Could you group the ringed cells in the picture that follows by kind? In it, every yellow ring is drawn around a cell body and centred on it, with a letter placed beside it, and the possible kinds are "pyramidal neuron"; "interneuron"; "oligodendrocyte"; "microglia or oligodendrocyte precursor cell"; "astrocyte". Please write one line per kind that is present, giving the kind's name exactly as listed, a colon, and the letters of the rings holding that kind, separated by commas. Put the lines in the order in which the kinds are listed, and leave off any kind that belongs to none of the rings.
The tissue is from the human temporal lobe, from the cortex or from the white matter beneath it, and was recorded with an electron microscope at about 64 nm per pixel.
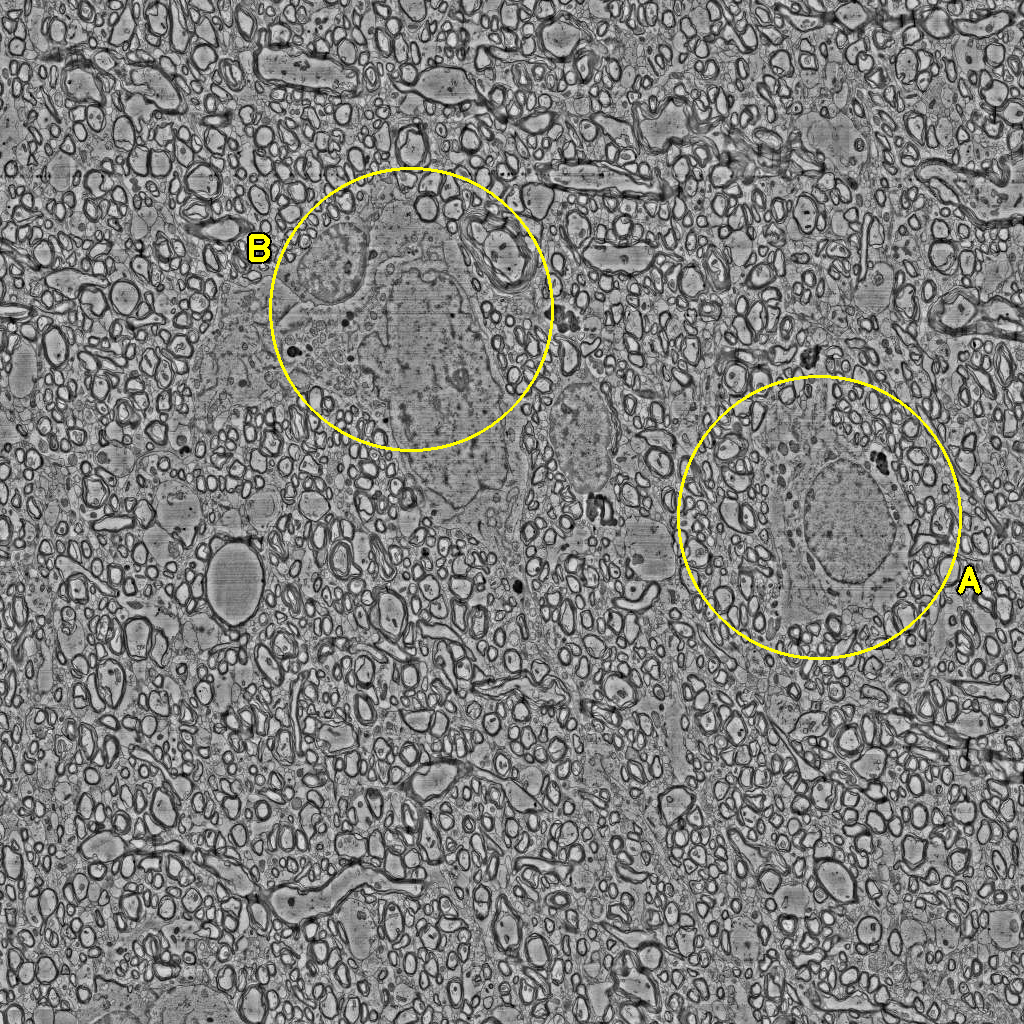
interneuron: B
astrocyte: A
